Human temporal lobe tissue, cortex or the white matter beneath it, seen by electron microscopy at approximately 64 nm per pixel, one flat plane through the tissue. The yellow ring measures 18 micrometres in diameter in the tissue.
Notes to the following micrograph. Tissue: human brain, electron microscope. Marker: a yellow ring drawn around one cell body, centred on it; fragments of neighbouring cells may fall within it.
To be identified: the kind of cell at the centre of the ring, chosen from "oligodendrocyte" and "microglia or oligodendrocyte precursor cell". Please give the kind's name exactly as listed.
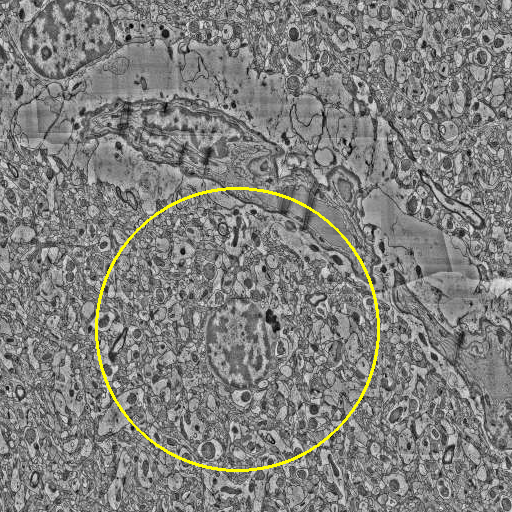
oligodendrocyte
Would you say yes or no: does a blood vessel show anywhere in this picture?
Yes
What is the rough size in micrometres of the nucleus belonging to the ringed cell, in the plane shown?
In this plane, approximately 6 by 4 micrometers.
